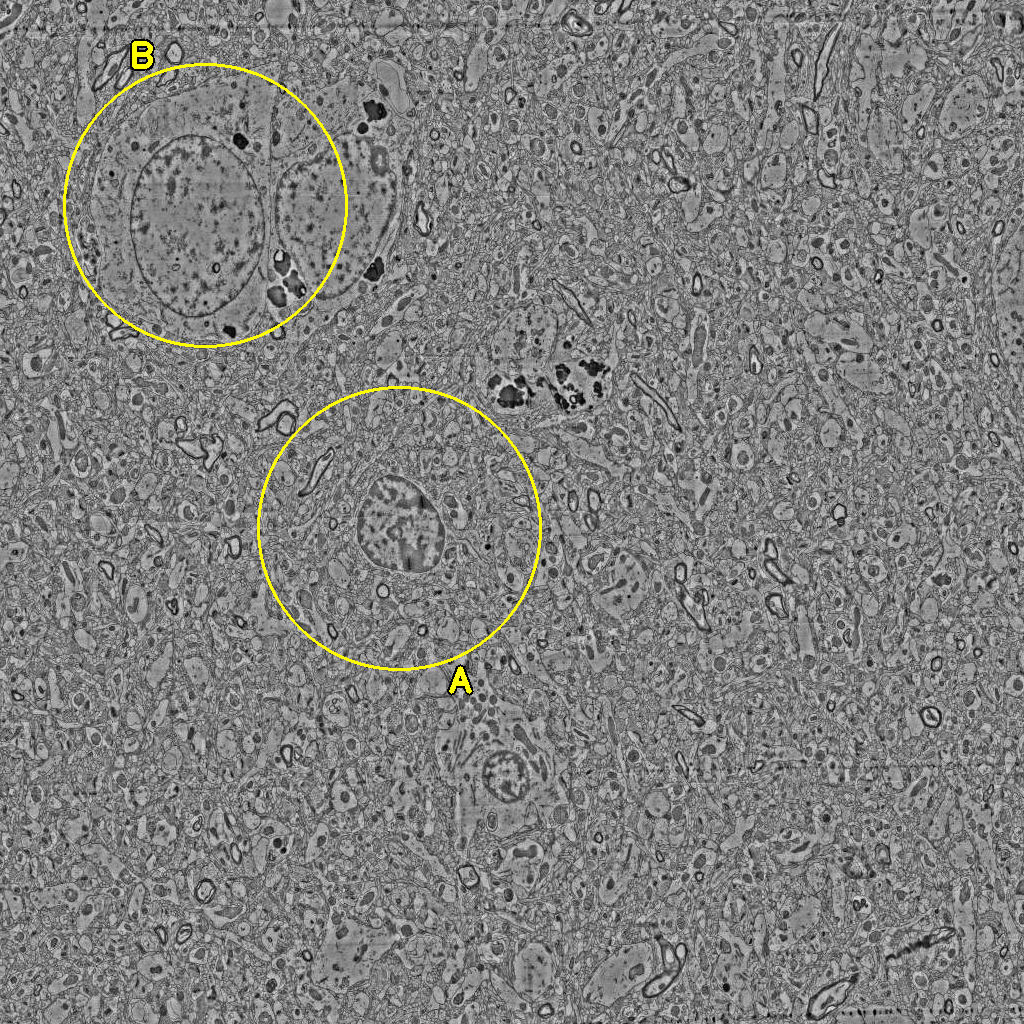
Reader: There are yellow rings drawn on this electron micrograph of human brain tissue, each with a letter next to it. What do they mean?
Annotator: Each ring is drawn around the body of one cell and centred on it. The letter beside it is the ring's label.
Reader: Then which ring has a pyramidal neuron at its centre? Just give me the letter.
B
